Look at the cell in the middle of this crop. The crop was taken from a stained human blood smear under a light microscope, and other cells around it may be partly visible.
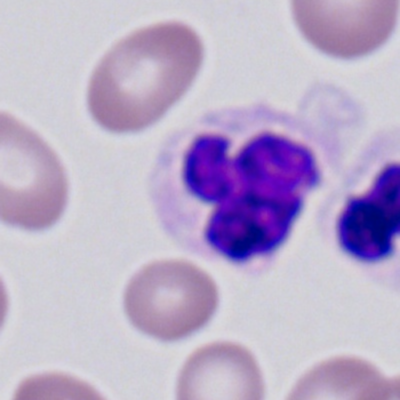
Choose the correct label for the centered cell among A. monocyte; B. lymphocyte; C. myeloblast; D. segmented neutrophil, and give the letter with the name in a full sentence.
In this crop the middle cell is a segmented neutrophil, so option D is the correct answer.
